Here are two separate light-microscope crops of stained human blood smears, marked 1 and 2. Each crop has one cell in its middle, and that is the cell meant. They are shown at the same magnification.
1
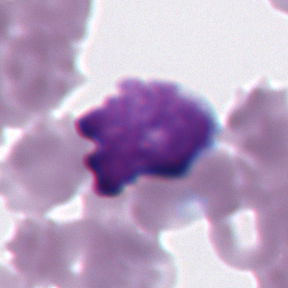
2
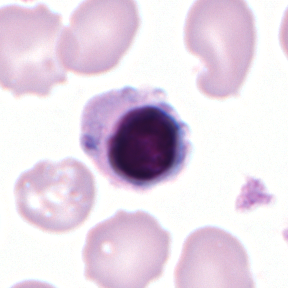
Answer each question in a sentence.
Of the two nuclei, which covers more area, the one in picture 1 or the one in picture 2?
Larger is the nucleus in picture 1, at roughly 2 times the area of the other.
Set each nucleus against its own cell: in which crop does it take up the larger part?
The nucleus fills more of the cell in picture 1 than in picture 2.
